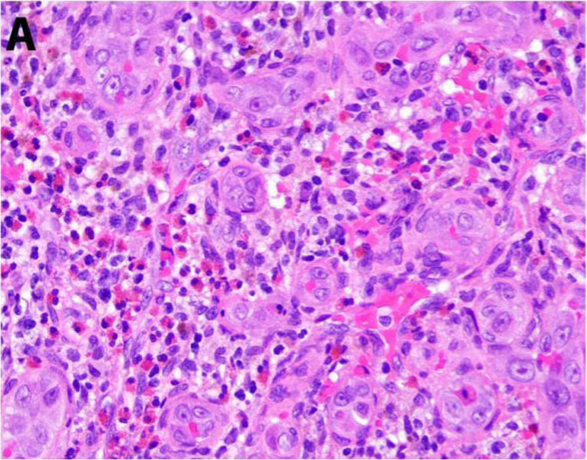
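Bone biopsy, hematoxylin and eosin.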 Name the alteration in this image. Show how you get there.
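Prominent inflammatory stroma. Densely packed small inflammatory cells fill the spaces between the large-cell clusters. Extravasated red blood cells lie among them.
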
